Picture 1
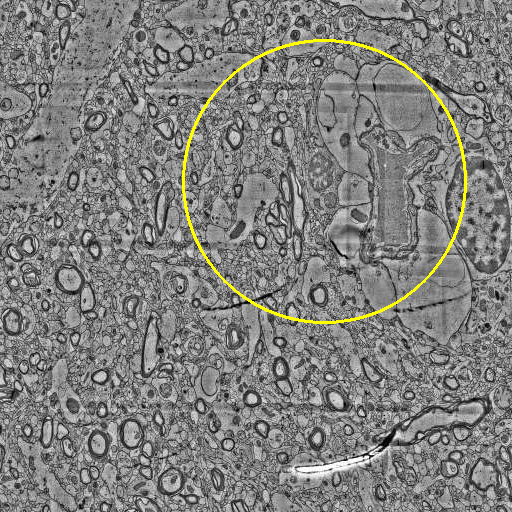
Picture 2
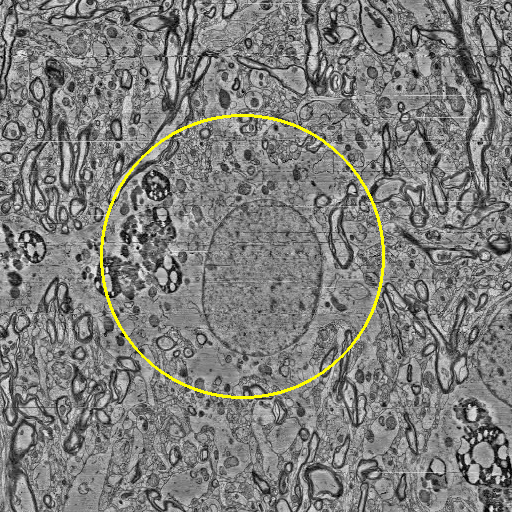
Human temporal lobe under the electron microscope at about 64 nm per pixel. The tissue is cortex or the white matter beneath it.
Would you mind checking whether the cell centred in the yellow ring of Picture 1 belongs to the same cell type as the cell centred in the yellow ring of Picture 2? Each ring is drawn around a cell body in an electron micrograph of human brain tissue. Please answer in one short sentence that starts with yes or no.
No, the two cells are of two types.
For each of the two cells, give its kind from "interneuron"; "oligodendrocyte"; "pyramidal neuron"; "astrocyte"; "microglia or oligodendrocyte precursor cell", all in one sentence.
The first picture has an oligodendrocyte in its ring, the second has an astrocyte.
